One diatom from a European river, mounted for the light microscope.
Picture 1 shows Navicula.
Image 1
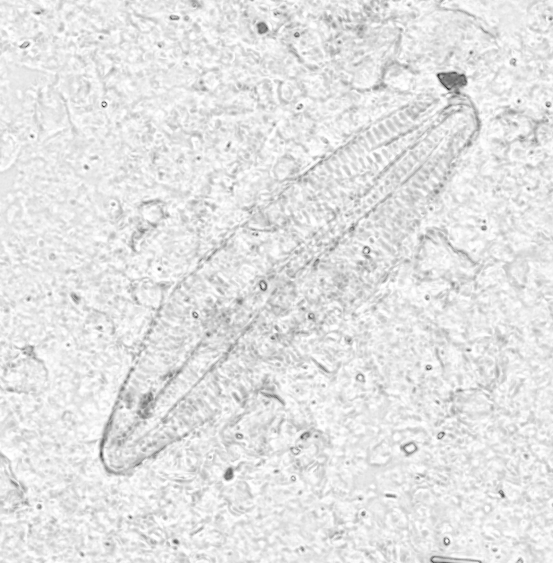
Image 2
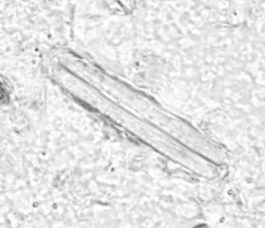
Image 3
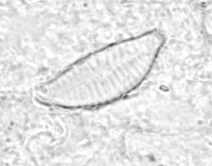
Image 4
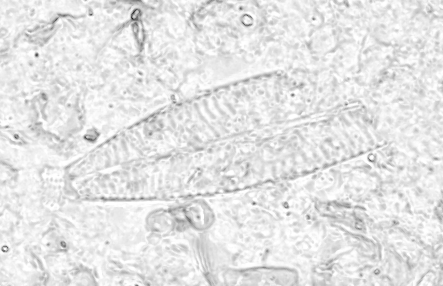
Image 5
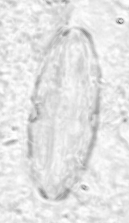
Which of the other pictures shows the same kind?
Picture 4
